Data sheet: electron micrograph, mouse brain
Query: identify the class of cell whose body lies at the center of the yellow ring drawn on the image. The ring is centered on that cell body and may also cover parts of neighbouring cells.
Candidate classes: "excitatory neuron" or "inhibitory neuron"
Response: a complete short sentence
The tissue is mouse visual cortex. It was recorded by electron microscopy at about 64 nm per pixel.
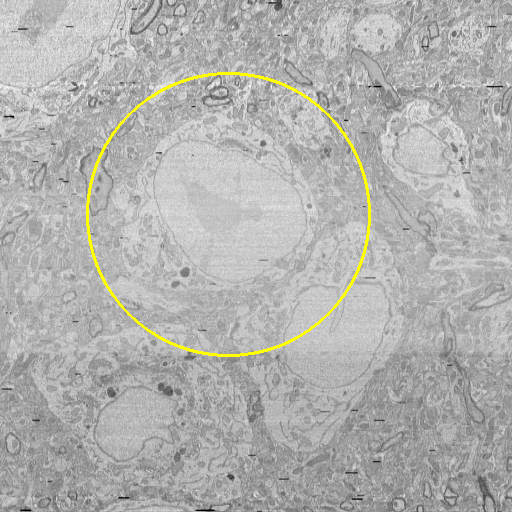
At the center of the ring lies an inhibitory neuron.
